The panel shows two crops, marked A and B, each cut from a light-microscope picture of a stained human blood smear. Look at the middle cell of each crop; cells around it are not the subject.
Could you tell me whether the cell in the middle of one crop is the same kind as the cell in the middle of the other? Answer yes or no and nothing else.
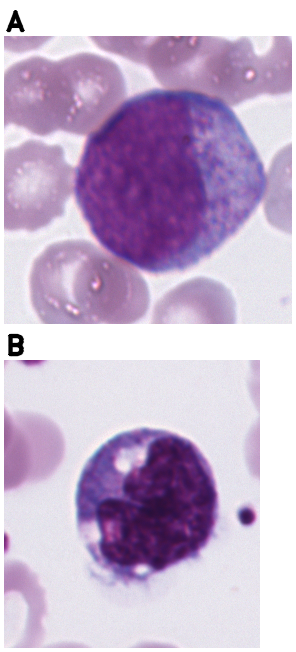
no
